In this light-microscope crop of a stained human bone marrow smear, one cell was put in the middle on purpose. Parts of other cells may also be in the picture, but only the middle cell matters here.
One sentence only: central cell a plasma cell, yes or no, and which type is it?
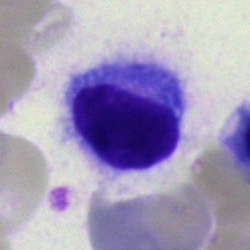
No, instead of a plasma cell, the centred cell represents a hairy cell.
